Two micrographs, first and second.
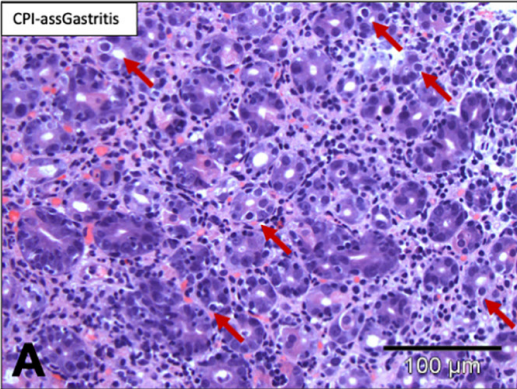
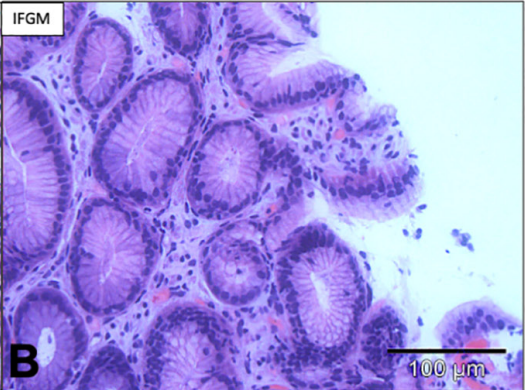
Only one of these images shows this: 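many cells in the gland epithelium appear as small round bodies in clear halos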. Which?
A: The first image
